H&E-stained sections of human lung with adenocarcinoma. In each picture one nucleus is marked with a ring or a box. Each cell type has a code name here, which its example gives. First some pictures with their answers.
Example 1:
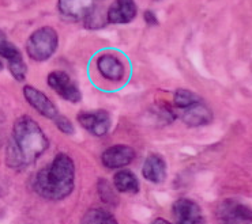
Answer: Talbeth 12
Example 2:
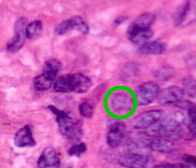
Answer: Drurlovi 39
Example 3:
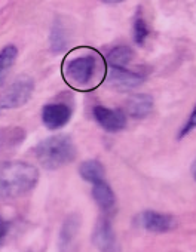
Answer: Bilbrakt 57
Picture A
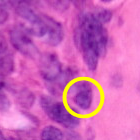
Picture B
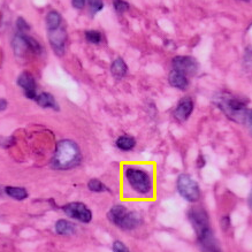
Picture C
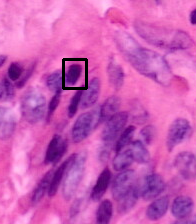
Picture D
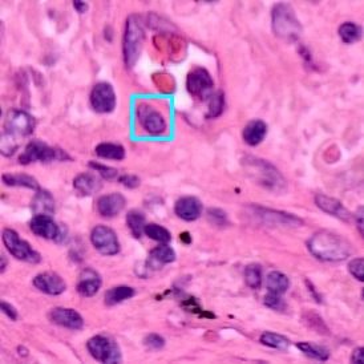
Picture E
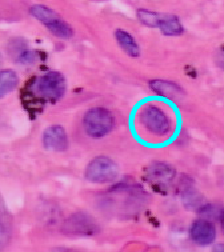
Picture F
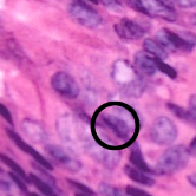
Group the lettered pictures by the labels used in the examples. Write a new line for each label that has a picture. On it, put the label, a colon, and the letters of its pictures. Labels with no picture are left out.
Talbeth 12: B, D, E
Drurlovi 39: A, C, F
